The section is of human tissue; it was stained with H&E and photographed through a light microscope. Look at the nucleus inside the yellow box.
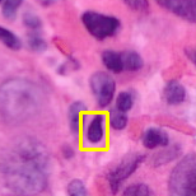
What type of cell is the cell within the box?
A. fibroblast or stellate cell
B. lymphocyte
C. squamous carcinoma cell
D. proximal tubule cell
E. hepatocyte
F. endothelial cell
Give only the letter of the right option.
B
